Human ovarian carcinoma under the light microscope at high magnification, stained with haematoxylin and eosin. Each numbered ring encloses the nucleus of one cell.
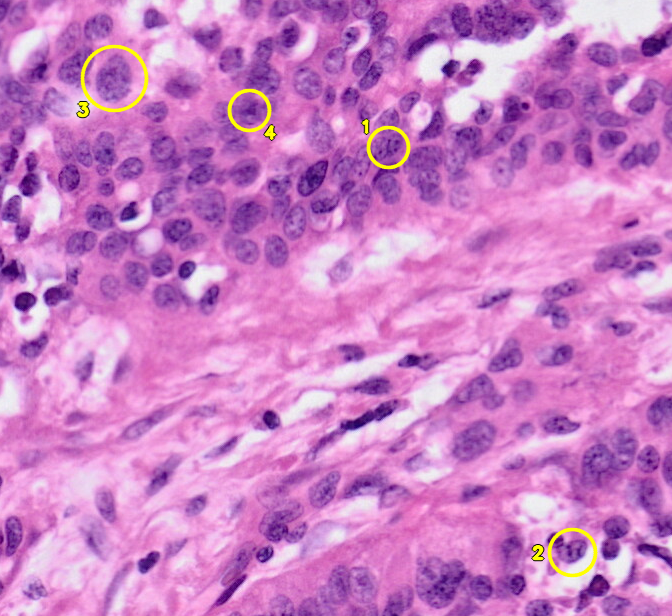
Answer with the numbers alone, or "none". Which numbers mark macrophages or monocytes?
2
